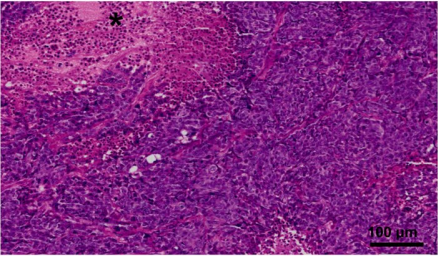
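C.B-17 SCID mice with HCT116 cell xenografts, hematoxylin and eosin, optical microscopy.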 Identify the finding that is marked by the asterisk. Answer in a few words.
Tumor necrosis and inflammation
